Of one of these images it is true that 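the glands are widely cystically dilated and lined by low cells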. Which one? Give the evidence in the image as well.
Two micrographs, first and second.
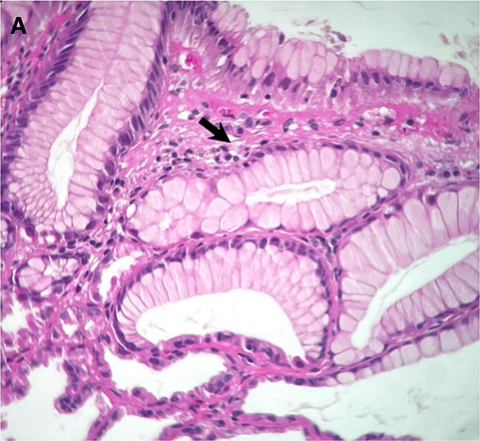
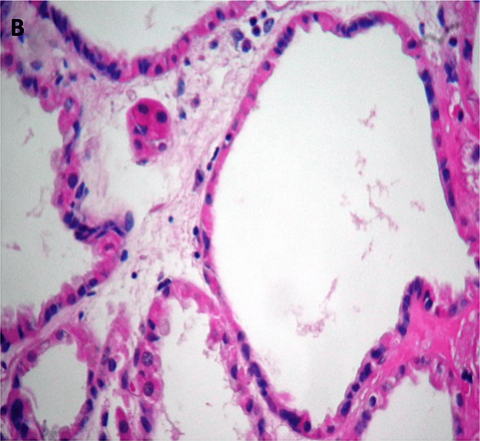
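The second image. Second image: large rounded spaces lined by a single layer of low cells with pink cytoplasm. First image: glands with narrow lumens lined by tall cells with pale apical cytoplasm.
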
